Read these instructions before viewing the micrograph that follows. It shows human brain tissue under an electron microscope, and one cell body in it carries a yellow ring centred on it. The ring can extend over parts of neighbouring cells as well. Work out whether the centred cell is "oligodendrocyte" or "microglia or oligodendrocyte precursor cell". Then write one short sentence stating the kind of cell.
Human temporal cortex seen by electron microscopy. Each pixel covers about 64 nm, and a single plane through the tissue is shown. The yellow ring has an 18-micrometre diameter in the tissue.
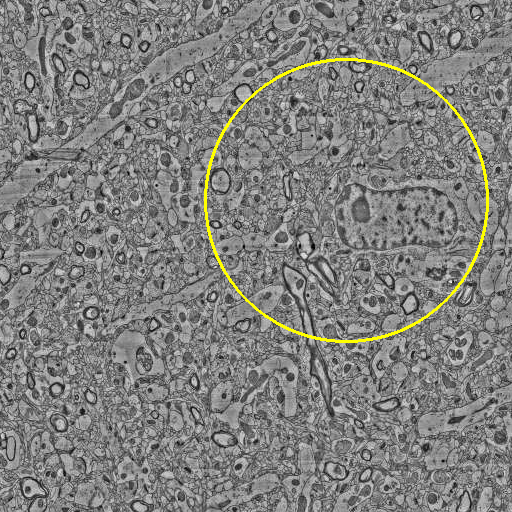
The ringed cell is a microglial cell or oligodendrocyte precursor cell.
